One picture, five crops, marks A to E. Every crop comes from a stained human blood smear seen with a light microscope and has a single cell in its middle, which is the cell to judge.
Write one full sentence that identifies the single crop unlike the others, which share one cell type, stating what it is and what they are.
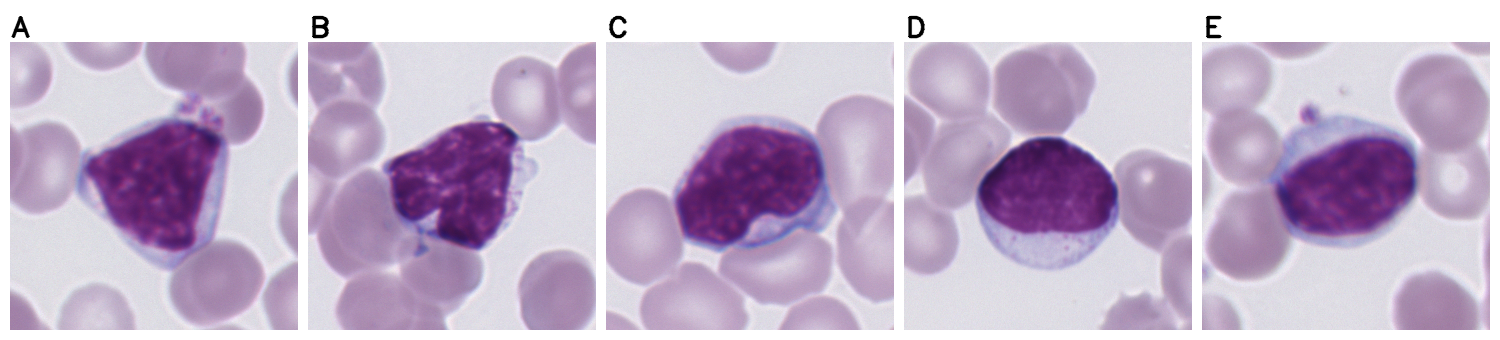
The single exception among the crops is crop C, which is a typical lymphocyte; the rest show large granular lymphocytes.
